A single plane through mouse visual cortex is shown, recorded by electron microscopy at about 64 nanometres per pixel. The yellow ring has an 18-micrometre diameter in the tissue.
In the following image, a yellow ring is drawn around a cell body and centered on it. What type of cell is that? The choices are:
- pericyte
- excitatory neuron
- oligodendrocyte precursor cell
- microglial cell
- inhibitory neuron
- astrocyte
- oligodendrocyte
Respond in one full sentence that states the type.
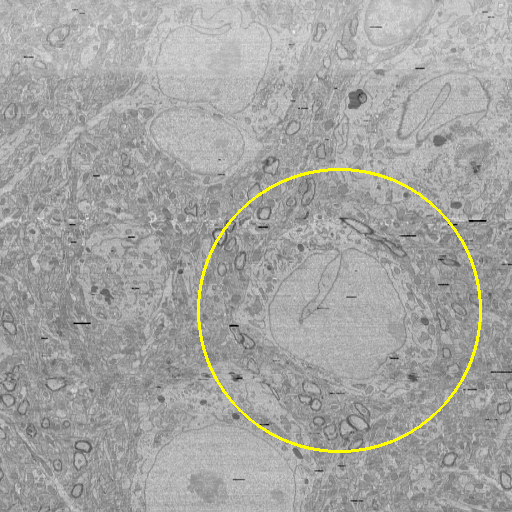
The cell at the center of the yellow ring in the image is an inhibitory neuron.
